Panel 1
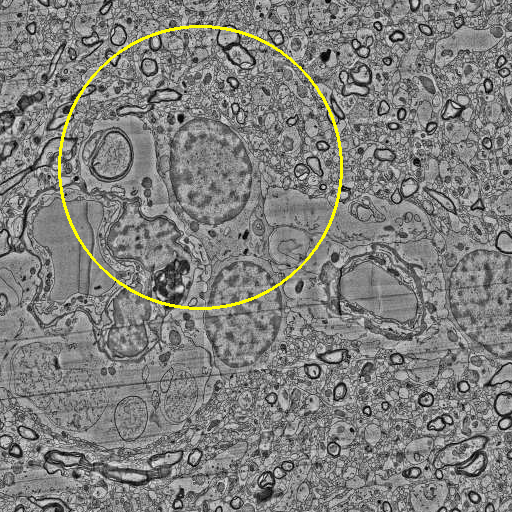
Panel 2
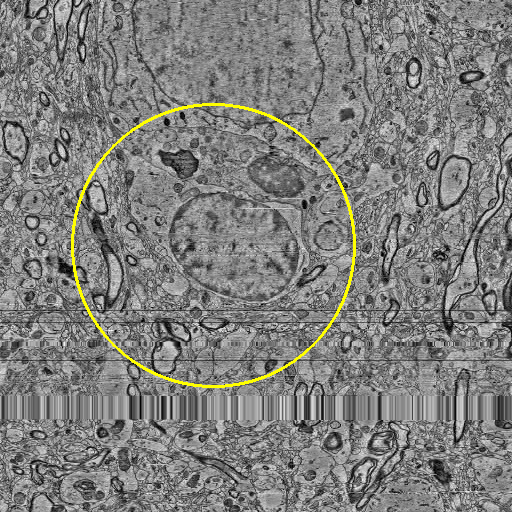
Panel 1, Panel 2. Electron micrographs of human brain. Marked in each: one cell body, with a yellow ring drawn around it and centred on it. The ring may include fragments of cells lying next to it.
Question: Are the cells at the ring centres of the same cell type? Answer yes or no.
no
